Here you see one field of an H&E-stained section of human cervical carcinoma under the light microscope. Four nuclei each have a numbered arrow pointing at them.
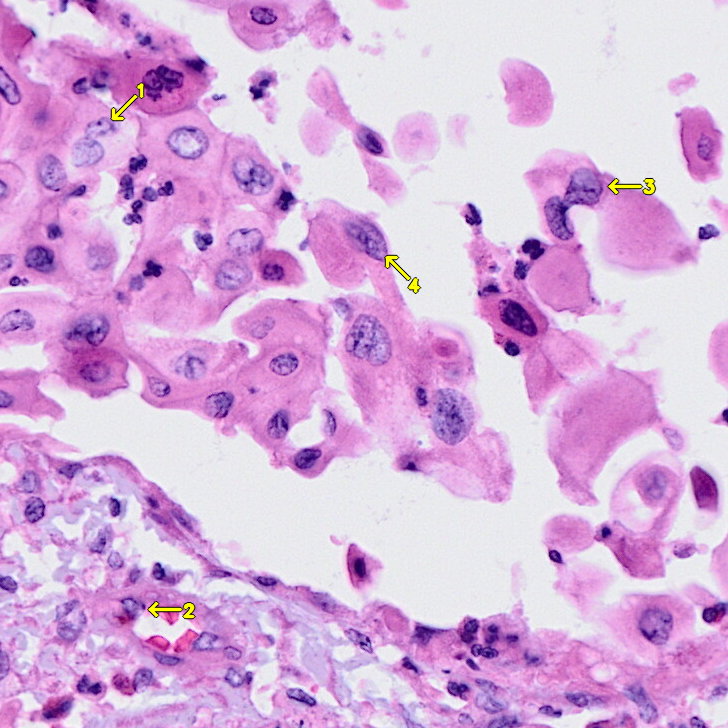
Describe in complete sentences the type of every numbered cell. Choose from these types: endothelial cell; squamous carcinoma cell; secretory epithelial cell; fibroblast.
Cell 1 is a squamous carcinoma cell, cell 2 is an endothelial cell, cell 3 is a squamous carcinoma cell and cell 4 is a squamous carcinoma cell.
